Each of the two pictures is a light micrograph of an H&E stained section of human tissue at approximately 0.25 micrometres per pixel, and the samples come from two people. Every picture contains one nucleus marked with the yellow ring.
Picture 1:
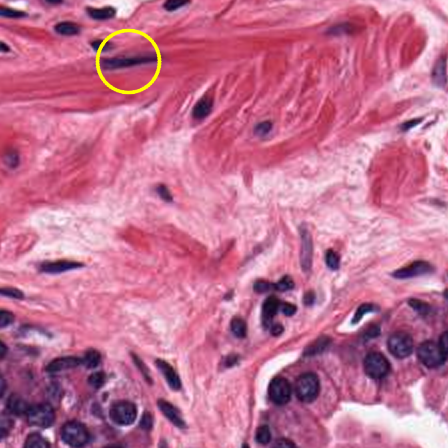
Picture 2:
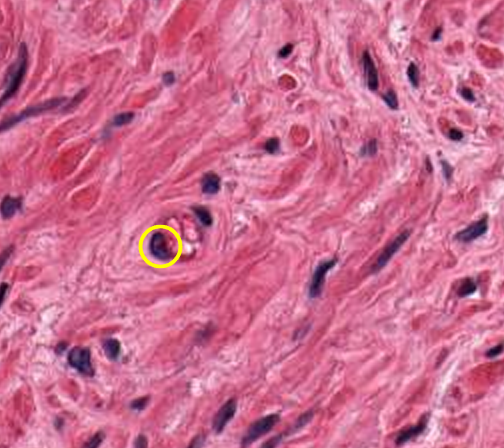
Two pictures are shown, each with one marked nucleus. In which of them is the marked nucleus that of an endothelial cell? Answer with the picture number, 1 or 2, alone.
2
